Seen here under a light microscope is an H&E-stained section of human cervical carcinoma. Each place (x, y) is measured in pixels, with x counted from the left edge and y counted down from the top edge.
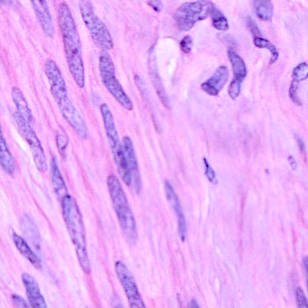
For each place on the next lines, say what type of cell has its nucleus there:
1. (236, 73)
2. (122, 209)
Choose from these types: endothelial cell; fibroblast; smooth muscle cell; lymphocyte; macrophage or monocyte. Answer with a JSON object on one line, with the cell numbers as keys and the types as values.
{"1": "fibroblast", "2": "smooth muscle cell"}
